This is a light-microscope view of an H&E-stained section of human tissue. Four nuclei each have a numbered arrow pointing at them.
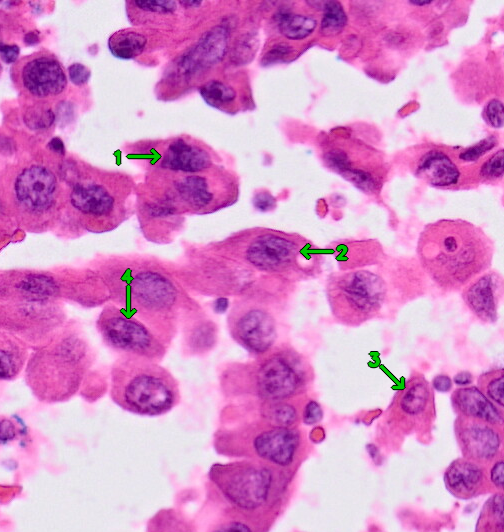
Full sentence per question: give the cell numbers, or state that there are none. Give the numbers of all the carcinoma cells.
In this section, the cells numbered 1, 2 and 4 are carcinoma cells.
